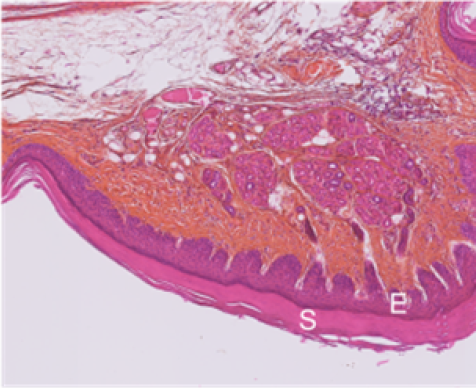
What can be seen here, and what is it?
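A section of the skin surface shows an outer thick, pink, anucleate layered band over a dark purple band of densely packed nucleated cells whose lower edge dips in regular ridges into orange-stained connective tissue. Deeper lie clusters of pink rounded profiles amid loose orange and white tissue. The pink outer band is the stratum corneum and the purple nucleated band is the epidermis.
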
